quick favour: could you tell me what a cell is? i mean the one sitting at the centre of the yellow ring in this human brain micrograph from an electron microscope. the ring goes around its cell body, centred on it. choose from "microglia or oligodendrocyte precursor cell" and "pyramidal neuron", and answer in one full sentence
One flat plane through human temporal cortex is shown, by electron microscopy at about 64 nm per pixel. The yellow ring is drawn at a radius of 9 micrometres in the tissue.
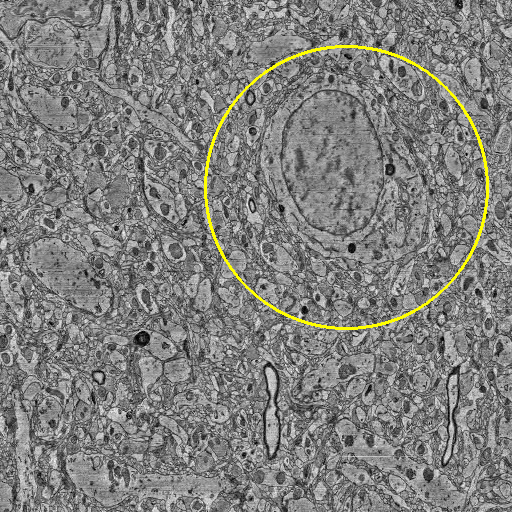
That's a pyramidal neuron, the cell sitting at the centre of the yellow ring.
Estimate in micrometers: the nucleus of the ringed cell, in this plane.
The nucleus measures about 10 by 7 micrometres in this plane.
